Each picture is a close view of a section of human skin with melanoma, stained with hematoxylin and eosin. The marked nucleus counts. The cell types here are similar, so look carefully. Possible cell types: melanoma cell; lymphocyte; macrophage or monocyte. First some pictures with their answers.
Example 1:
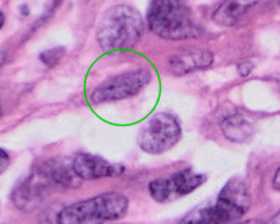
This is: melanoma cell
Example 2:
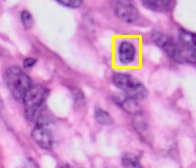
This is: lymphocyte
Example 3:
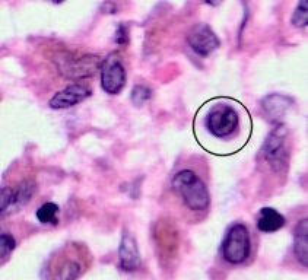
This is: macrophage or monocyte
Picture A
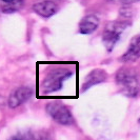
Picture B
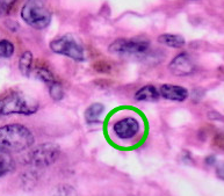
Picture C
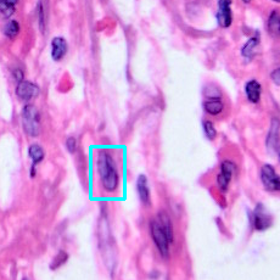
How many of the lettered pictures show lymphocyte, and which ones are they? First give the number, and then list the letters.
Count: 1 (B)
